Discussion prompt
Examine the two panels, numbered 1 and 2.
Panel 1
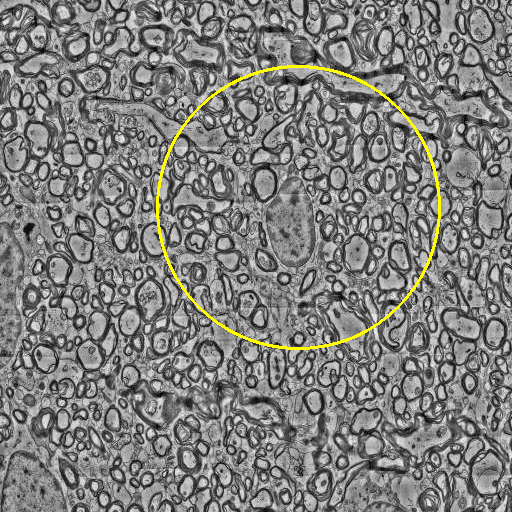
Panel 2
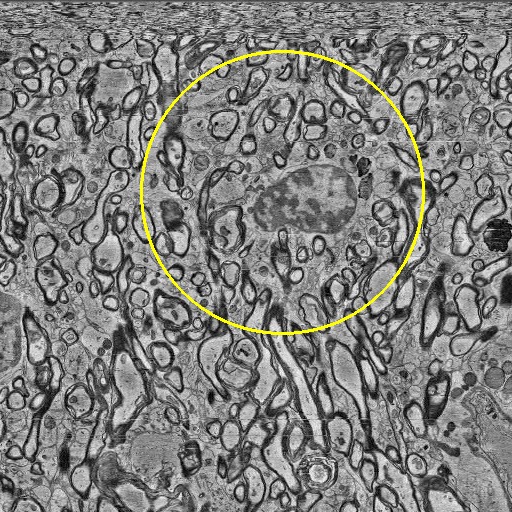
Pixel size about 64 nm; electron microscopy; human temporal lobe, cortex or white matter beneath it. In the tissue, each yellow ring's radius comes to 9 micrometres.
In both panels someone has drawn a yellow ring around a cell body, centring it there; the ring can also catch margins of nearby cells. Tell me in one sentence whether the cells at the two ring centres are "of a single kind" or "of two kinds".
Taken together, the two cells centred in the rings of Panels 1 and 2 are of a single kind.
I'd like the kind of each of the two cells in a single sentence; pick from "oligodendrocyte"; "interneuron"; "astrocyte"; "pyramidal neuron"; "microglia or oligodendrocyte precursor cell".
Each cell at the centre of a ring is a microglial cell or oligodendrocyte precursor cell.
